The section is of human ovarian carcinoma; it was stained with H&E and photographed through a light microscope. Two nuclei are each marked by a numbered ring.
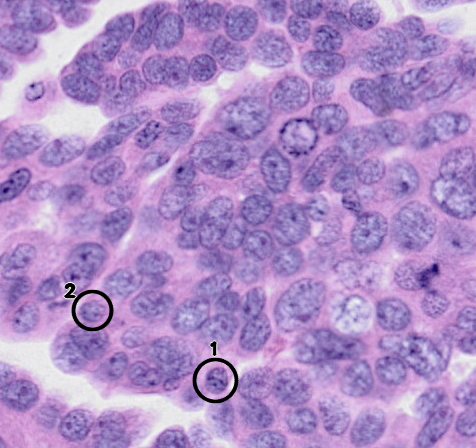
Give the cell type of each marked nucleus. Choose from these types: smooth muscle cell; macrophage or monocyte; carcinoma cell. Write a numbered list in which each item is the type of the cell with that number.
1. macrophage or monocyte
2. carcinoma cell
